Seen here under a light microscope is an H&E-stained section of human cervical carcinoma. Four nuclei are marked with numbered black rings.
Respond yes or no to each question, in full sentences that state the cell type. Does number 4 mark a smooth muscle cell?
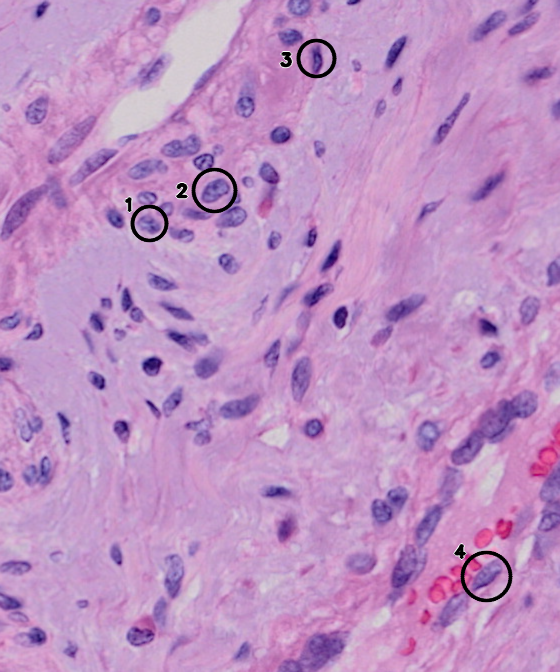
No, number 4 marks an endothelial cell rather than a smooth muscle cell.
